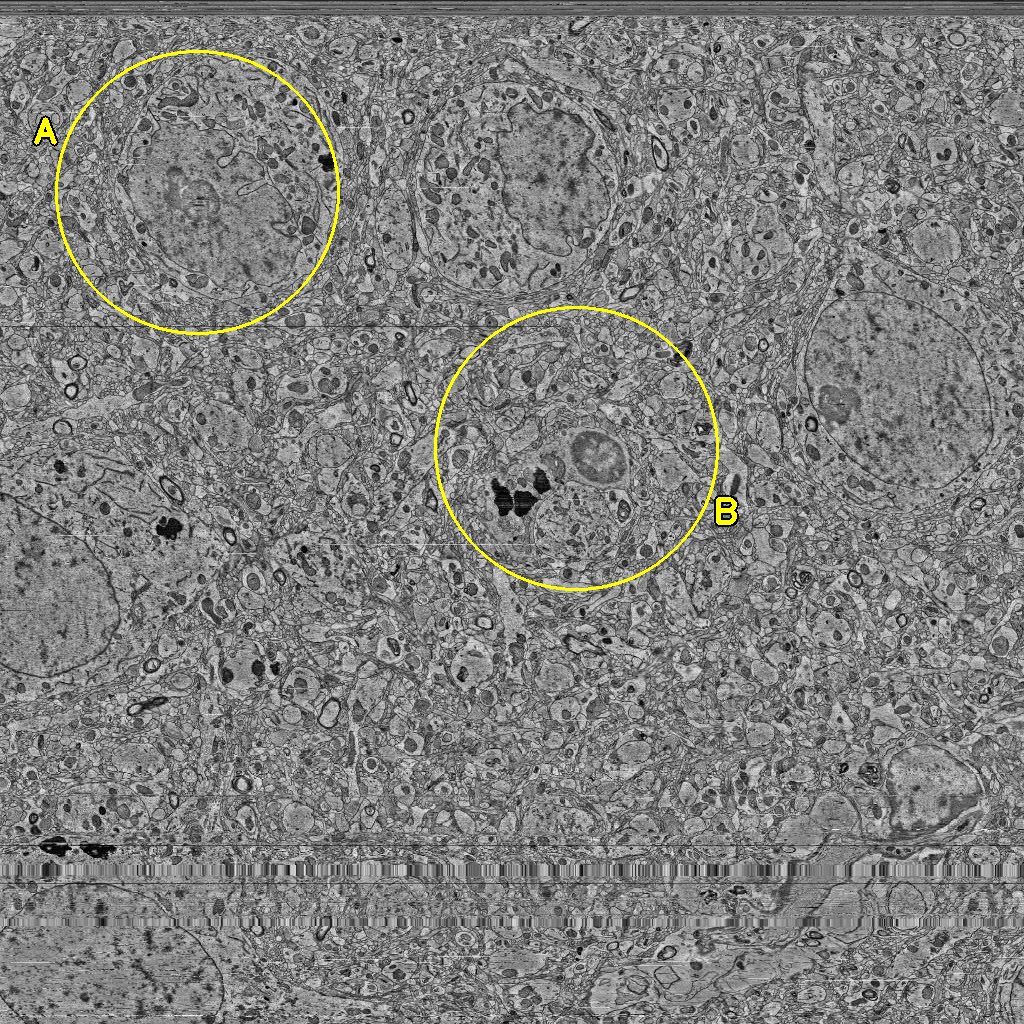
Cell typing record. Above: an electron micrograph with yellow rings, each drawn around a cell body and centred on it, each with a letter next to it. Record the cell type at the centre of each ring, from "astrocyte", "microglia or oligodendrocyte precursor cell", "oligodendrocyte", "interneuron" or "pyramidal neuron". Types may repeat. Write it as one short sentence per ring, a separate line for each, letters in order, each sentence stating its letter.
Ring A circles an interneuron.
Ring B circles an oligodendrocyte.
